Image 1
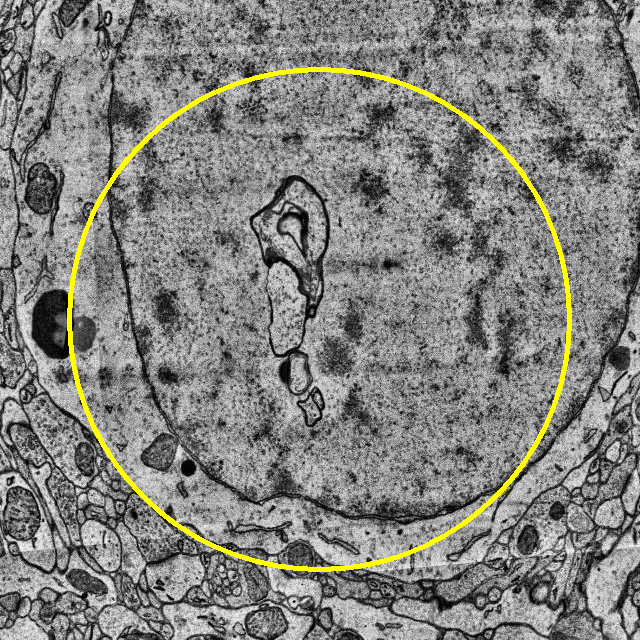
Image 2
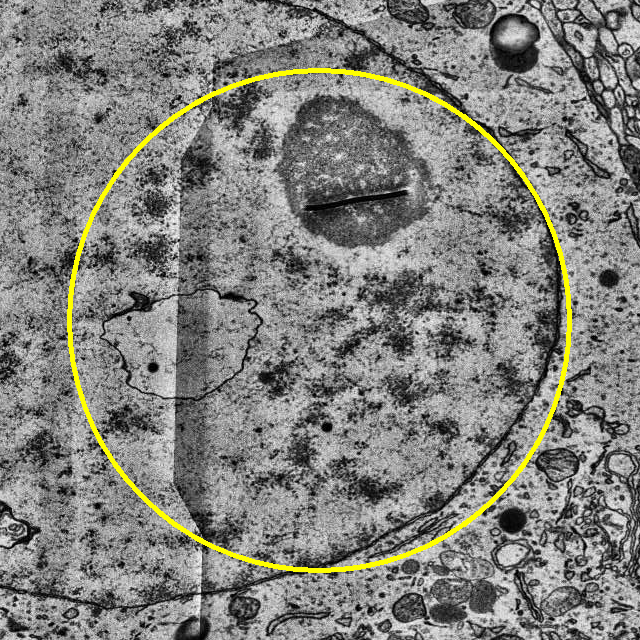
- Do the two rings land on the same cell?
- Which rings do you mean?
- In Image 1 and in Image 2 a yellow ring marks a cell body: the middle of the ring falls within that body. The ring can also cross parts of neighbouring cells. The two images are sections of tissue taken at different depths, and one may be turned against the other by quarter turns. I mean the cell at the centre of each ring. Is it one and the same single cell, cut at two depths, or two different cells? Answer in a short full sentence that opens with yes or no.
No, the cells inside the two rings are not the same cell.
